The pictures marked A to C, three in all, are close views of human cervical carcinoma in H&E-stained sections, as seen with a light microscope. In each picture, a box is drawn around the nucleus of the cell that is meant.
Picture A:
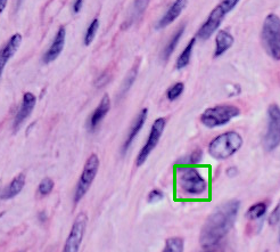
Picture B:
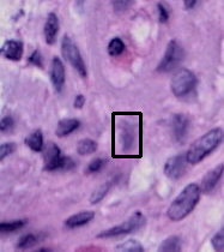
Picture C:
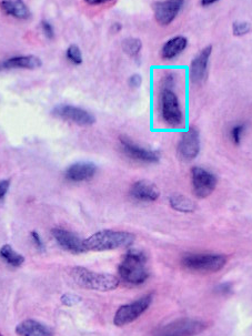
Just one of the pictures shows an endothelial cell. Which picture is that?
A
